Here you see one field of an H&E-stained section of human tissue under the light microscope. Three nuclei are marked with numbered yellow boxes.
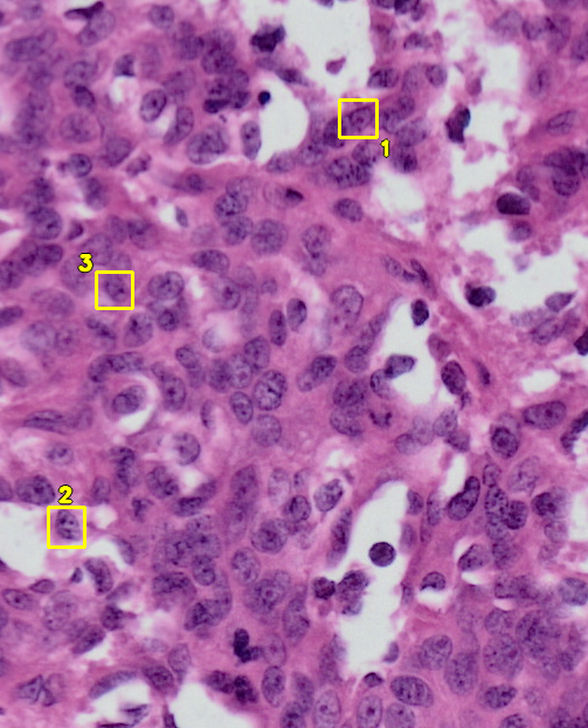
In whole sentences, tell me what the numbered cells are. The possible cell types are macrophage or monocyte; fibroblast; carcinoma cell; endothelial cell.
Cell 1 is a carcinoma cell, cell 2 is a macrophage or monocyte and cell 3 is a carcinoma cell.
